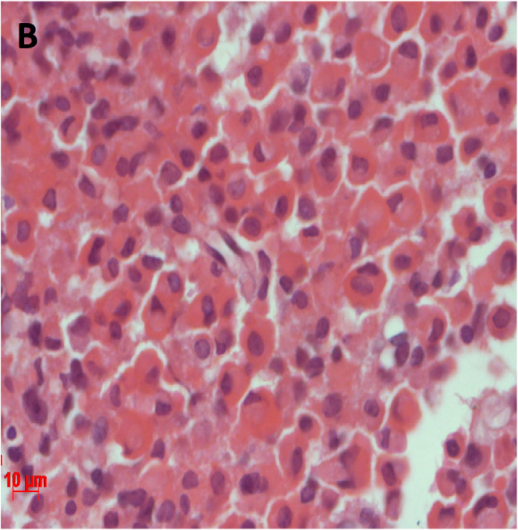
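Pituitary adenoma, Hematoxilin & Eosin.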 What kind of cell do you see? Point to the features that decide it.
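Eosinophilic cells. Polygonal cells with abundant bright pink-red cytoplasm. Round dark purple nuclei, often placed off-centre. Cells packed in sheets with little stroma between them.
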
